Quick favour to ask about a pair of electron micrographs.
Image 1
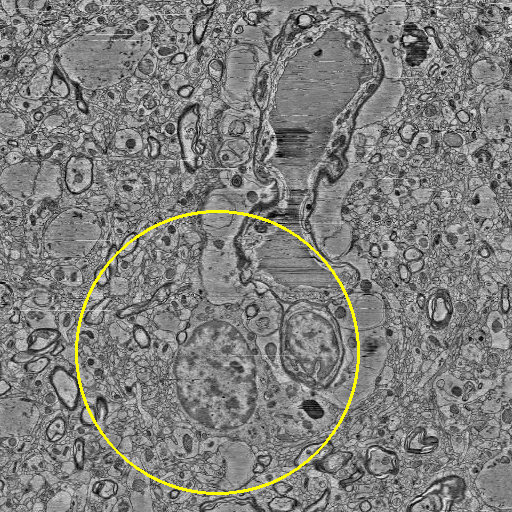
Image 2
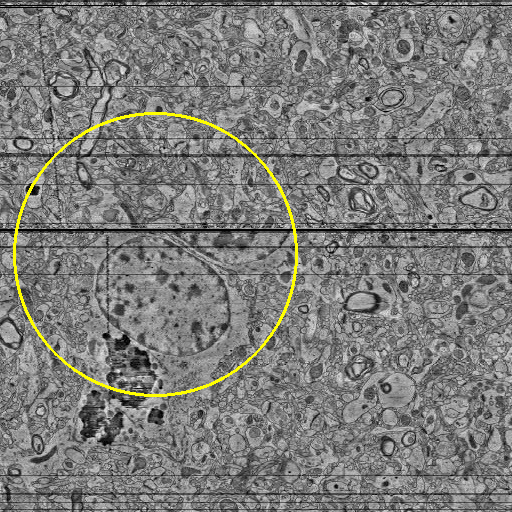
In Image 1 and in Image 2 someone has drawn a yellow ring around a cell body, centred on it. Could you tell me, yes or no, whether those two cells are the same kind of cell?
no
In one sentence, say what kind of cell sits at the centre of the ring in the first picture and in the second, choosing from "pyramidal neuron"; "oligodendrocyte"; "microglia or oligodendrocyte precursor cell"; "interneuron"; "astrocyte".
The first picture's ringed cell is an oligodendrocyte, while the second picture's is an astrocyte.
